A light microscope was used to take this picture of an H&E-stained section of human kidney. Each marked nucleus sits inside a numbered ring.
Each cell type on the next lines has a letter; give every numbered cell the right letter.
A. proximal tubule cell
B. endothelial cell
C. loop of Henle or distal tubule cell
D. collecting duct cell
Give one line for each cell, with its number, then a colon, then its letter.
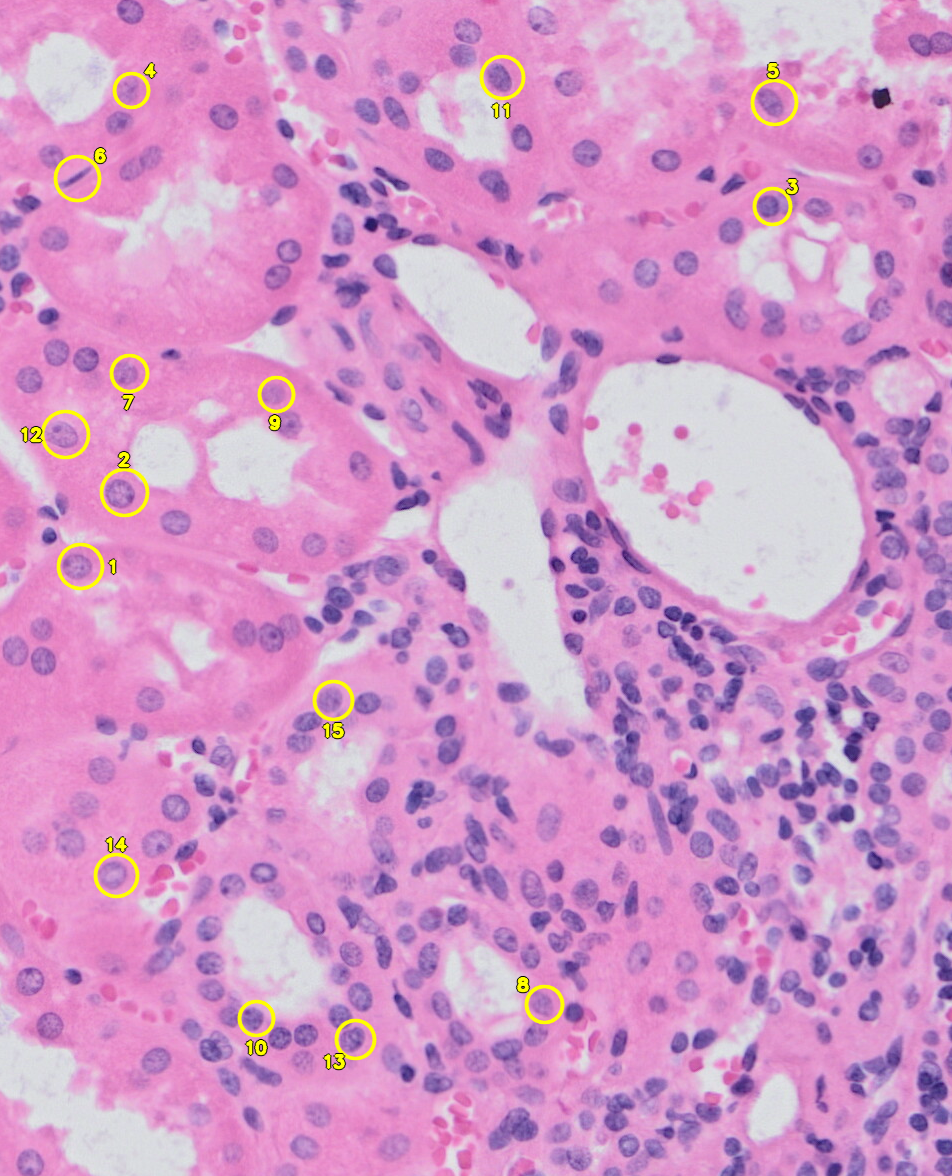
1: A
2: A
3: C
4: A
5: A
6: B
7: A
8: D
9: A
10: D
11: C
12: A
13: D
14: A
15: D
